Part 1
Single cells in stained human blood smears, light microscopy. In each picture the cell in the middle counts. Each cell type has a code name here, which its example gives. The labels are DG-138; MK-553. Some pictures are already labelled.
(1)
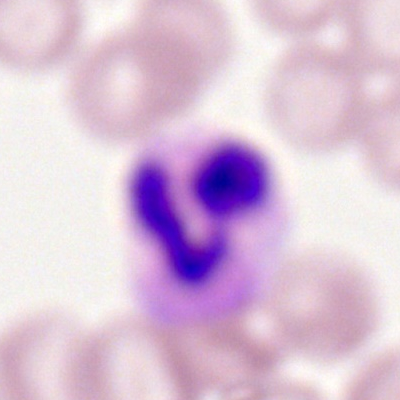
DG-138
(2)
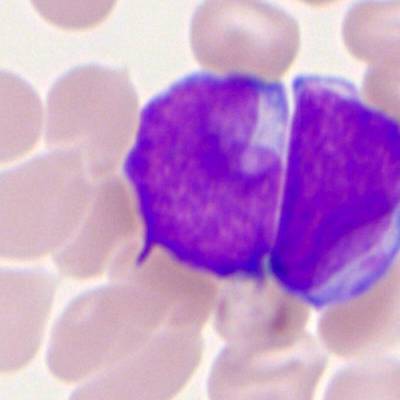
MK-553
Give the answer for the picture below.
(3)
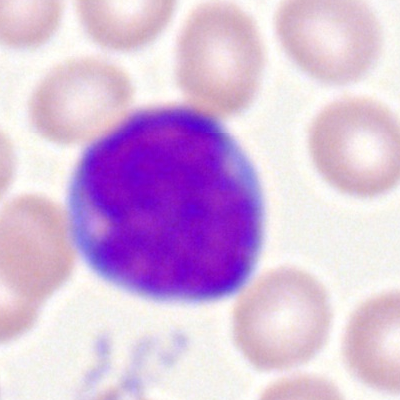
MK-553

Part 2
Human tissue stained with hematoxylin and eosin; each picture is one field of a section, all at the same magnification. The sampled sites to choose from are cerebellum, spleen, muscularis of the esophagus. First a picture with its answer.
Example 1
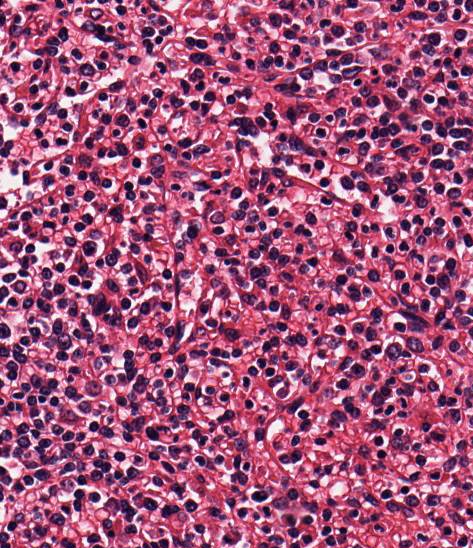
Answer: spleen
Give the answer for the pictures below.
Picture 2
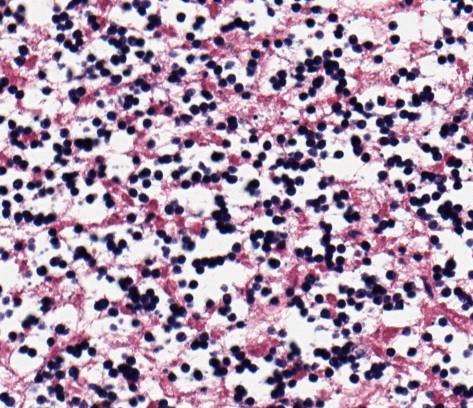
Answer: cerebellum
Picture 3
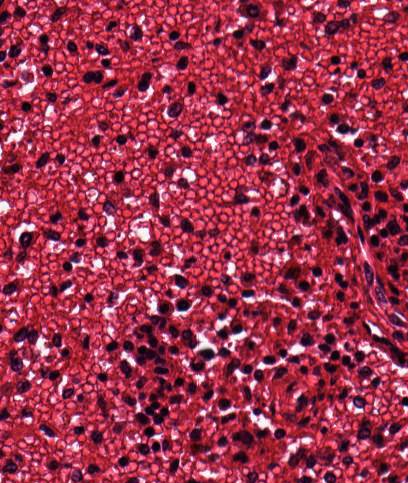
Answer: spleen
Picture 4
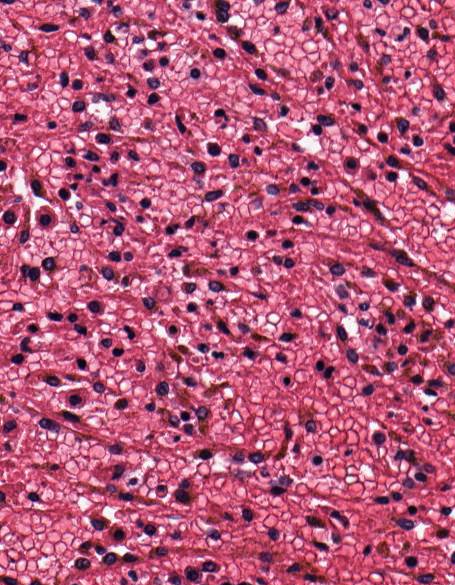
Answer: spleen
